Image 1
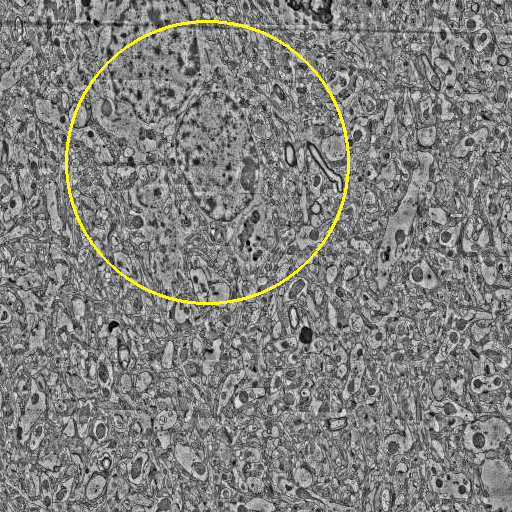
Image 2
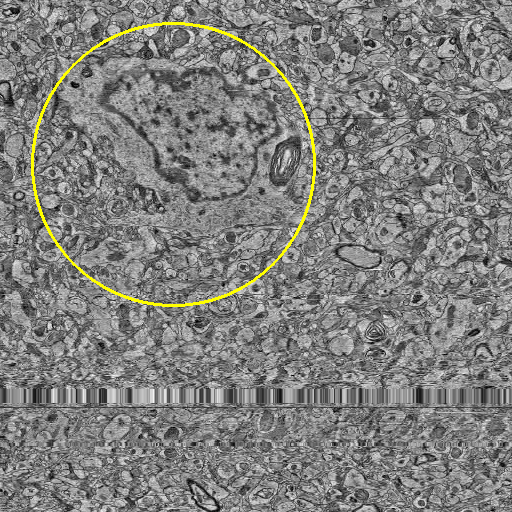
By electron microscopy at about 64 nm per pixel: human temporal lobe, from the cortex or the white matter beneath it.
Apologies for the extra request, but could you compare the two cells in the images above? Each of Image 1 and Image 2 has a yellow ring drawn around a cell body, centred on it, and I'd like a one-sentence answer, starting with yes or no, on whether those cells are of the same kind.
No, the two cells are of two kinds.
